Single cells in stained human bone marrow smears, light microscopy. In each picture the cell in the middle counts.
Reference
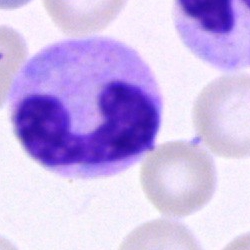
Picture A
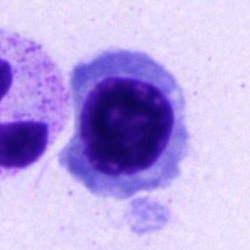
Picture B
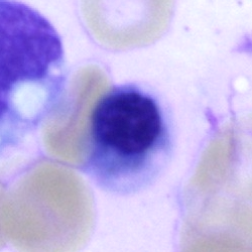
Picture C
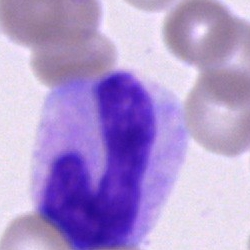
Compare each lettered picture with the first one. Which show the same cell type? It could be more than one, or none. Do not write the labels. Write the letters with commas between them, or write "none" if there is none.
C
